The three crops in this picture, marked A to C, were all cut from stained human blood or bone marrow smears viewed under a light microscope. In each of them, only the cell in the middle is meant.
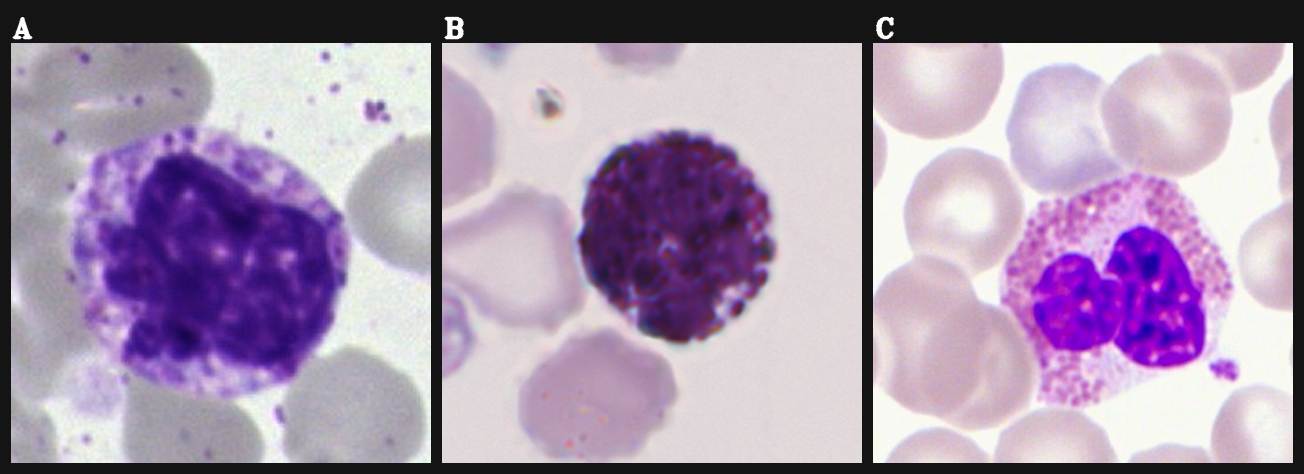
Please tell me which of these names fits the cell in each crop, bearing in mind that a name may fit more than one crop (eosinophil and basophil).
A: basophil
B: basophil
C: eosinophil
